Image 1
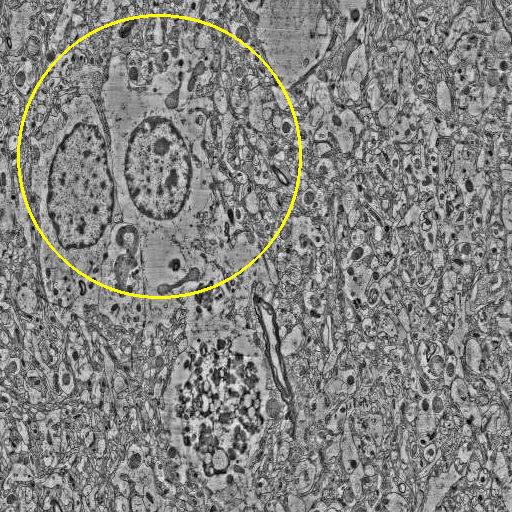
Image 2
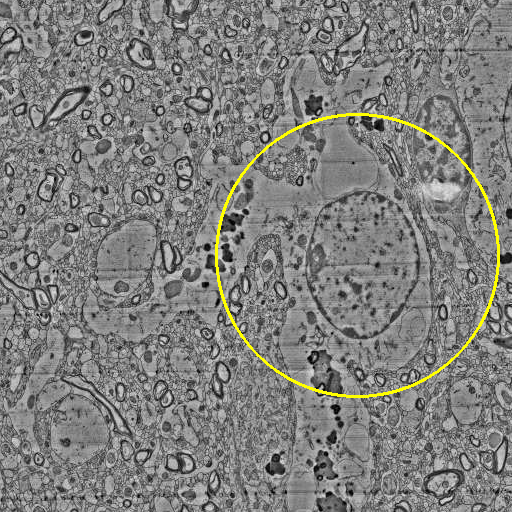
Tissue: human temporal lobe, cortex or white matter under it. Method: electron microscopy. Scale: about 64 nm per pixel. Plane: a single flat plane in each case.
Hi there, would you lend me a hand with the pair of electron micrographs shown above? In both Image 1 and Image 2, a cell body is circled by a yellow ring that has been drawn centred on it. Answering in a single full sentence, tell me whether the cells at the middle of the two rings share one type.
Yes, the ringed cells in Image 1 and Image 2 share one type.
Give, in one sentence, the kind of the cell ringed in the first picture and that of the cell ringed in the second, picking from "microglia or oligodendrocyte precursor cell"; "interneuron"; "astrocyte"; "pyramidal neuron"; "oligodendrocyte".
Each of the two rings surrounds an astrocyte.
